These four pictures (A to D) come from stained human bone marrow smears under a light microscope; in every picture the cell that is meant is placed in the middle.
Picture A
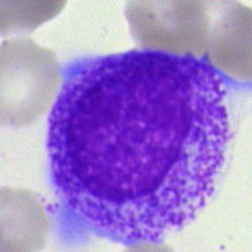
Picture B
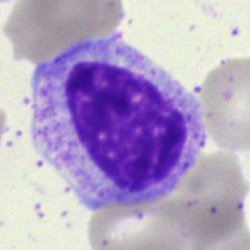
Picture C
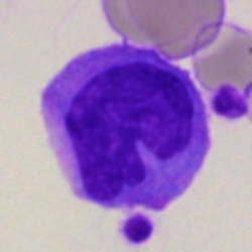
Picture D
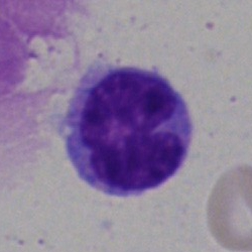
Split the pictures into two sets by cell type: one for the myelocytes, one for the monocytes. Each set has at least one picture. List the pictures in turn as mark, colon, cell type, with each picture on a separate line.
A: myelocyte
B: myelocyte
C: monocyte
D: monocyte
